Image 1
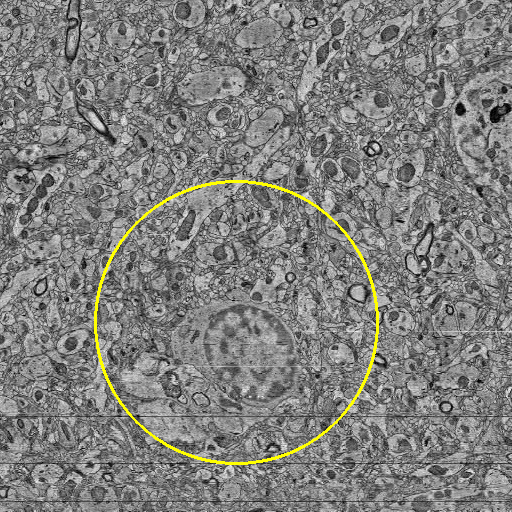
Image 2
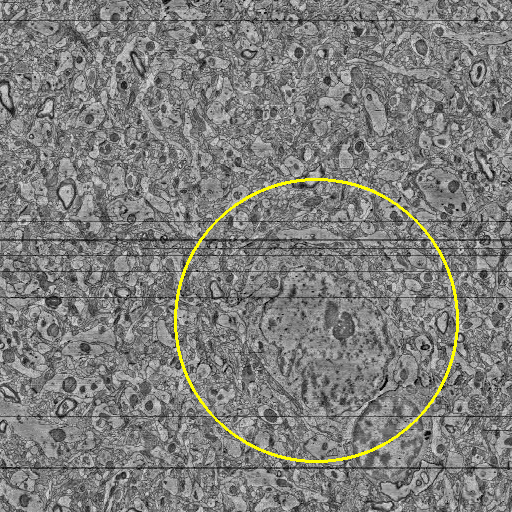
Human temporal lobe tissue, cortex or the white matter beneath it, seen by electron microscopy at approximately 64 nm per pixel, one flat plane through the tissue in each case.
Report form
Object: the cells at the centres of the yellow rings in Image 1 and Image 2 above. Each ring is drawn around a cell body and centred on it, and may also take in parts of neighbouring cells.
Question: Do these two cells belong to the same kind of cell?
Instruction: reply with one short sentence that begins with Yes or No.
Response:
No, they belong to two kinds of cell.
